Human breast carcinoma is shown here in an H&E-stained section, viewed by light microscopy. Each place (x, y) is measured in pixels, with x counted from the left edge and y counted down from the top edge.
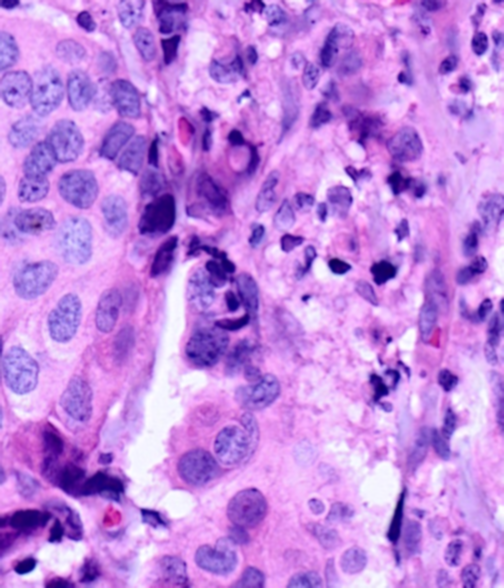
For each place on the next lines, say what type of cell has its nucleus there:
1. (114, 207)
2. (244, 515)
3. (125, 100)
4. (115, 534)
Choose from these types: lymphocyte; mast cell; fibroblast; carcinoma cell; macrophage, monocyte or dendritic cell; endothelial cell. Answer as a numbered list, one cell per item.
1. carcinoma cell
2. carcinoma cell
3. carcinoma cell
4. endothelial cell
